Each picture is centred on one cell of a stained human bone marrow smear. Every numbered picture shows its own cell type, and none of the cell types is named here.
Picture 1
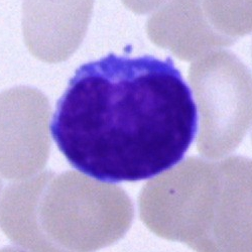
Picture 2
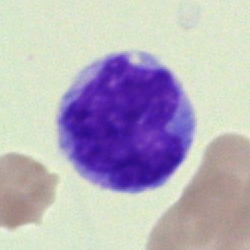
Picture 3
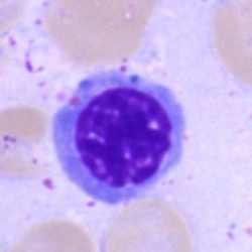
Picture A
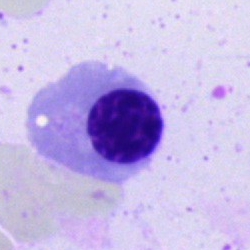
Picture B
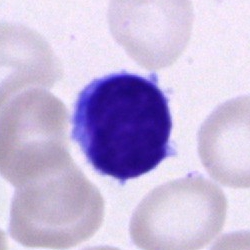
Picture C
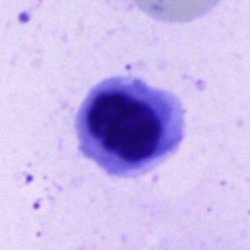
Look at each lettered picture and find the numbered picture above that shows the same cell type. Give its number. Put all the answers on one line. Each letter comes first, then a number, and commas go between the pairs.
A 3, B 1, C 3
